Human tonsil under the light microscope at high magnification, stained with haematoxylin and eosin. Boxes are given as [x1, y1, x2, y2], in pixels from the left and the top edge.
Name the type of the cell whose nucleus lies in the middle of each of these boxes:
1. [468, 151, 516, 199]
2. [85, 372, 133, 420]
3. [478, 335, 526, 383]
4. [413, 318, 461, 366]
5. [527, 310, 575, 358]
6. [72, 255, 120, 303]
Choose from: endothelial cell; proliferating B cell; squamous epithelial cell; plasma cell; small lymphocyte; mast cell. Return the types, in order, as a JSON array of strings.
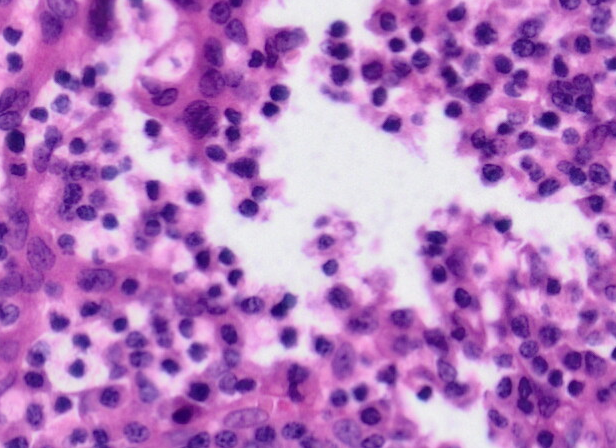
["plasma cell", "plasma cell", "plasma cell", "squamous epithelial cell", "plasma cell", "squamous epithelial cell"]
